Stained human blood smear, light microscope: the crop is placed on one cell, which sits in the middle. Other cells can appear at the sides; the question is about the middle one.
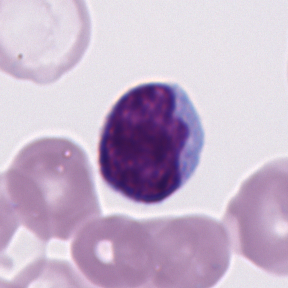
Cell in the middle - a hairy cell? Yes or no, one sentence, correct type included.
No, the central cell here is a typical lymphocyte; calling it a hairy cell is not right.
